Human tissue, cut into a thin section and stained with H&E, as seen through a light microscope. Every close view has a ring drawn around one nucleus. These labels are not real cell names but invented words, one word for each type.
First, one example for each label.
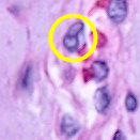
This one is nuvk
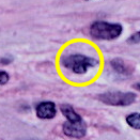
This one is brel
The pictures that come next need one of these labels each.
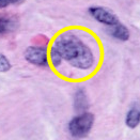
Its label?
nuvk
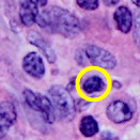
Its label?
brel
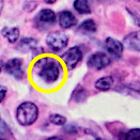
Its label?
brel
